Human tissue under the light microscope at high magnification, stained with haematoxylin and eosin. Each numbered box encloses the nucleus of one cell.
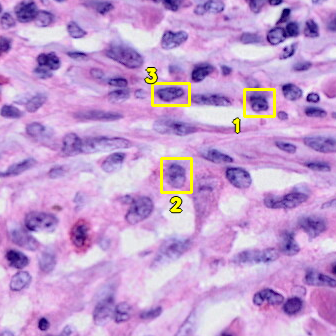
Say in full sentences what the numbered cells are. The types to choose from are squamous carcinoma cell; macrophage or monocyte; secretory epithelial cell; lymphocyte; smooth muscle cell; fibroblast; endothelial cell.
Cells 1 and 3 are lymphocytes. Cell 2 is a macrophage or monocyte.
